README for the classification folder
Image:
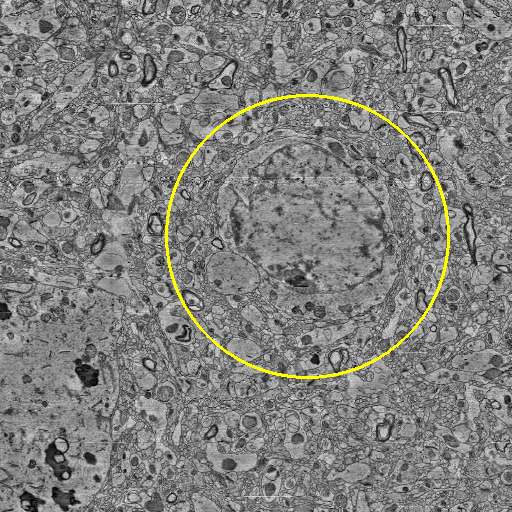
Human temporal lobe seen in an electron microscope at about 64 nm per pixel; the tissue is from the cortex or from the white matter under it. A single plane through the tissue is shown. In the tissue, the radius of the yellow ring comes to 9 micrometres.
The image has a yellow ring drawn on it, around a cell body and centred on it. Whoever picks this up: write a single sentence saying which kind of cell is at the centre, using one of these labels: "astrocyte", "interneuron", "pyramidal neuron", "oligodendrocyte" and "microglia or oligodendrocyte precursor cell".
This cell body is that of an interneuron.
